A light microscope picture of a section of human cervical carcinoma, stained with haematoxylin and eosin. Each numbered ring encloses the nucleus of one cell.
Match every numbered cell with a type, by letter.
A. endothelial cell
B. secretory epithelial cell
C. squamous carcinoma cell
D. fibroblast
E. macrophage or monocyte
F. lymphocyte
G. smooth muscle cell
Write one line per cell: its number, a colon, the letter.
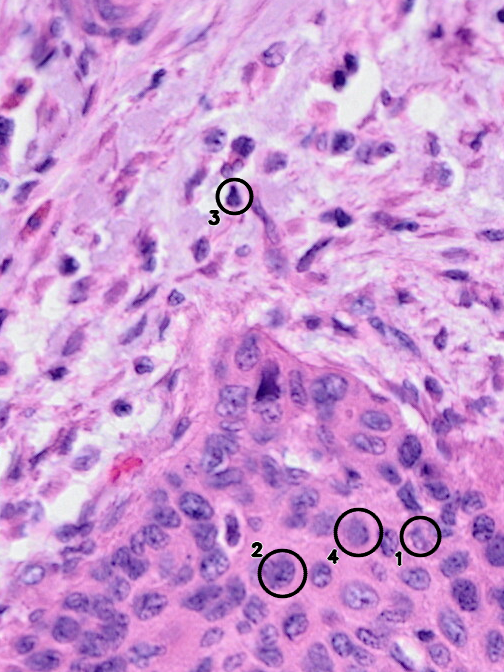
1: C
2: C
3: F
4: C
